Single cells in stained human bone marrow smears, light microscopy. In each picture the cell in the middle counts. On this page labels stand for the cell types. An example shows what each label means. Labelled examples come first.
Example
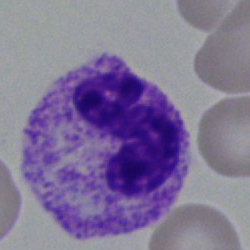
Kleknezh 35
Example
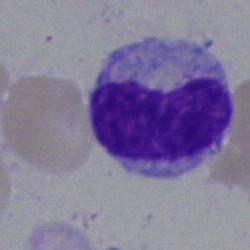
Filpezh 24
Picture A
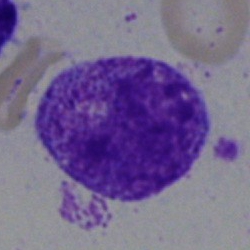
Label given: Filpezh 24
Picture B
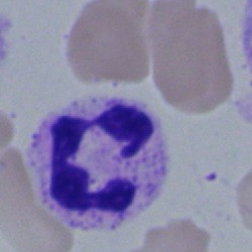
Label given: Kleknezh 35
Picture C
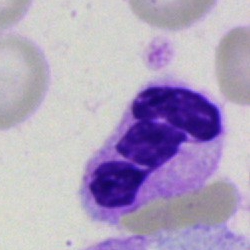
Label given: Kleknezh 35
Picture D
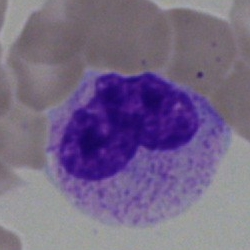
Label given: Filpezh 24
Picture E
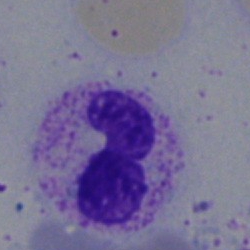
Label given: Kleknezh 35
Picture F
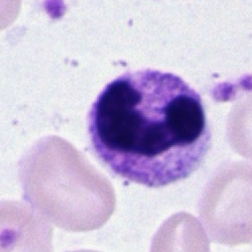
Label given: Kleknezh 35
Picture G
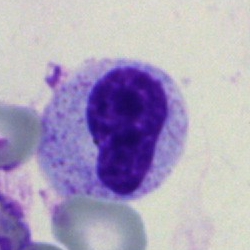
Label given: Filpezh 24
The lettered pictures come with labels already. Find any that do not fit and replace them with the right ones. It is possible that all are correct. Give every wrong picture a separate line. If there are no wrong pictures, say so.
All labels are correct.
